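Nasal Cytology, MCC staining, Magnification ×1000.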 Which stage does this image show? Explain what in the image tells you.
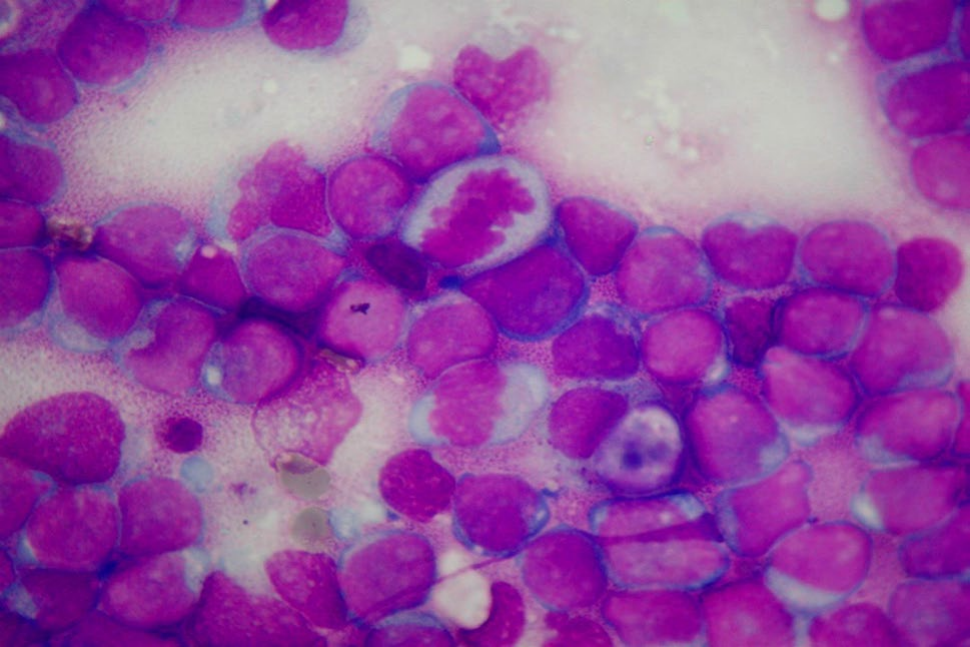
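Mitotic figures. A cell near the upper centre has condensed chromatin lined up in a band across a pale cell body. Another cell lower in the centre shows a similar condensed band of chromatin.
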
